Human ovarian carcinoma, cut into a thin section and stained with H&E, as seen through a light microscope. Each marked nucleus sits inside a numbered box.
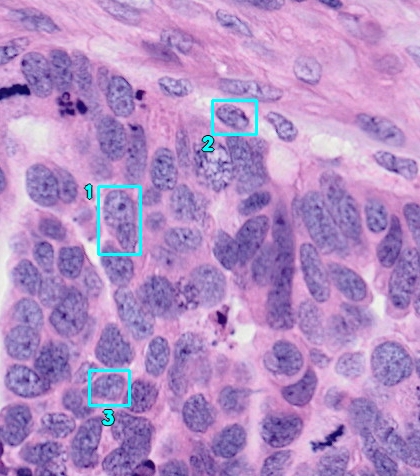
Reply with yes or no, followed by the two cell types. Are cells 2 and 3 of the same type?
No, that is not right: cell 2 is a macrophage or monocyte and cell 3 is a carcinoma cell.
